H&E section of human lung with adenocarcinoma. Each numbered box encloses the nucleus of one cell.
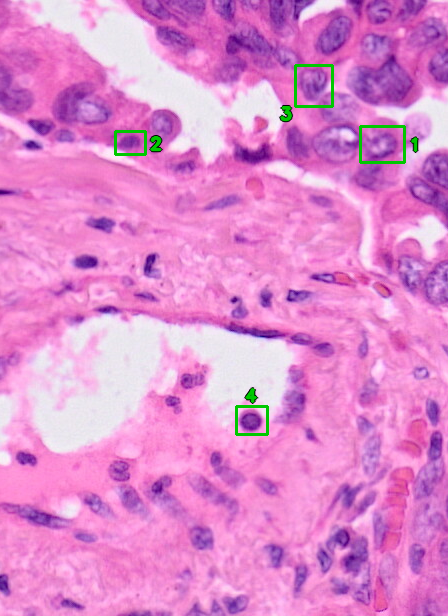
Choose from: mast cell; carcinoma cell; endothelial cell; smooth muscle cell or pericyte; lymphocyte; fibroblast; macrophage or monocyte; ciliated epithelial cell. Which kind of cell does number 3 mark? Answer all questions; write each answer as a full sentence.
To a carcinoma cell belongs the nucleus marked 3.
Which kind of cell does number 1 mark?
The expected answer is that cell 1 is a carcinoma cell.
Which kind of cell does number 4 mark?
Cell 4 of the marked set is a lymphocyte.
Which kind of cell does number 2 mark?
Cell 2 is classified as a carcinoma cell.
